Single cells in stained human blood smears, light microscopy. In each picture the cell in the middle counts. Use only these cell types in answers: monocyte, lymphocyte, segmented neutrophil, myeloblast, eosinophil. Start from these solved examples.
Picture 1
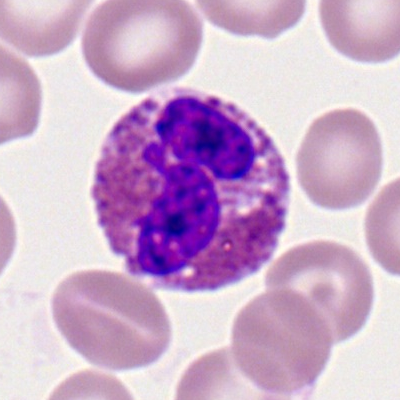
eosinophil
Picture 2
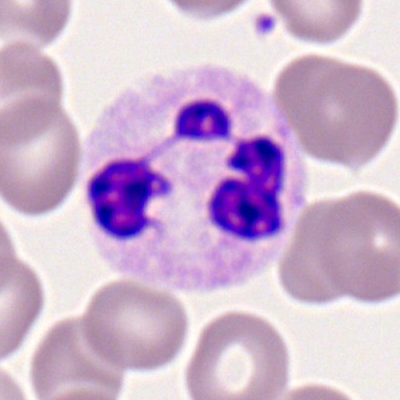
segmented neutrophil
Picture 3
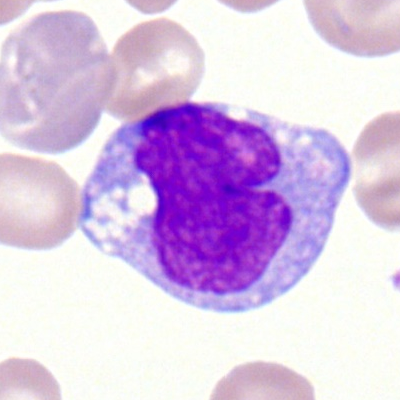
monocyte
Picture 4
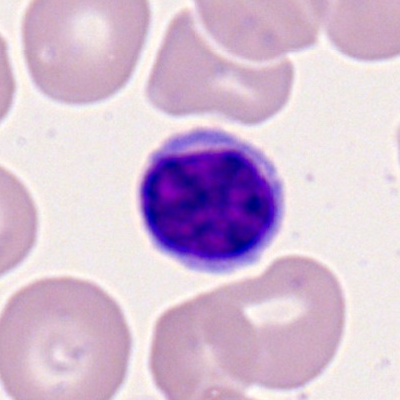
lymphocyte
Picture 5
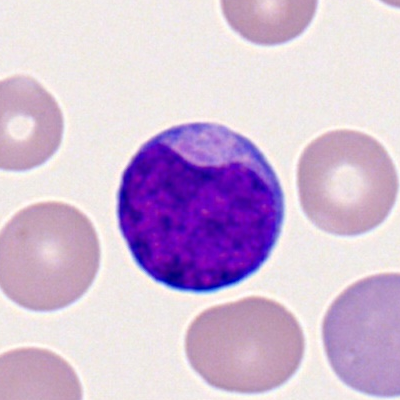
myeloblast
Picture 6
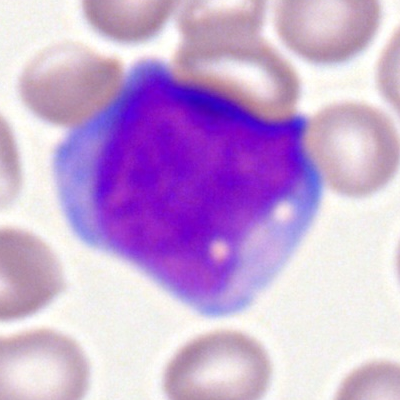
myeloblast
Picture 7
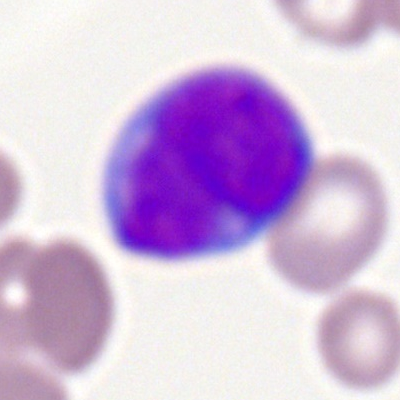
myeloblast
